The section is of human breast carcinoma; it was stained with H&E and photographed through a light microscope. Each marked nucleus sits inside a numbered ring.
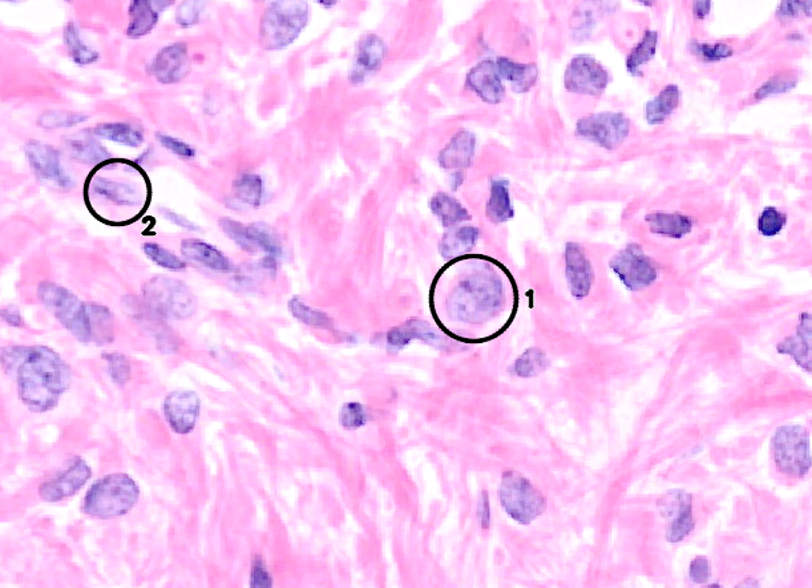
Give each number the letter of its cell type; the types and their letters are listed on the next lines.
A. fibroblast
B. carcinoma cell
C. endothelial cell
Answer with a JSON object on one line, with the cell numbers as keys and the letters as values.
{"1": "B", "2": "C"}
